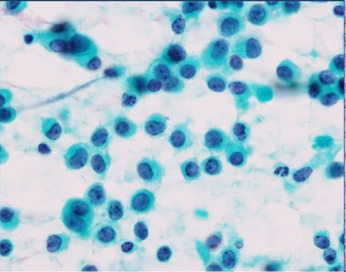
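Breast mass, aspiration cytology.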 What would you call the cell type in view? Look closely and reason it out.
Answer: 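Loose groups and single rounded cells lie on a pale background. Nuclei are dark and rounded, with blue-green cytoplasm around them.
Answer: atypical cells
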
